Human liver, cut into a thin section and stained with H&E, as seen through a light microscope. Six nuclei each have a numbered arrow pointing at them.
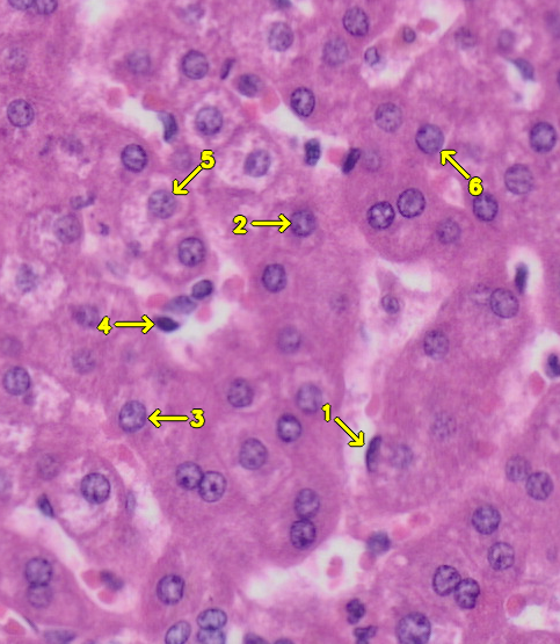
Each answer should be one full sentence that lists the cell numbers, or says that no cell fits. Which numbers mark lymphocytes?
In short, cell 4 is a lymphocyte; the others are not.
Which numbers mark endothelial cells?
Of the numbered cells, only cell 1 is an endothelial cell.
